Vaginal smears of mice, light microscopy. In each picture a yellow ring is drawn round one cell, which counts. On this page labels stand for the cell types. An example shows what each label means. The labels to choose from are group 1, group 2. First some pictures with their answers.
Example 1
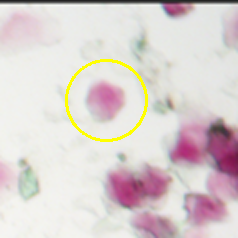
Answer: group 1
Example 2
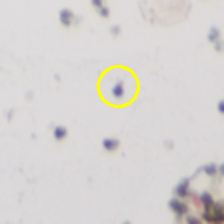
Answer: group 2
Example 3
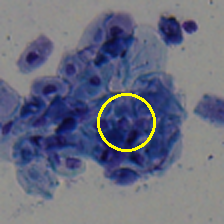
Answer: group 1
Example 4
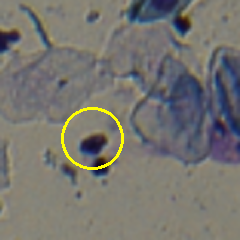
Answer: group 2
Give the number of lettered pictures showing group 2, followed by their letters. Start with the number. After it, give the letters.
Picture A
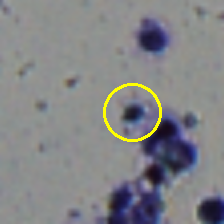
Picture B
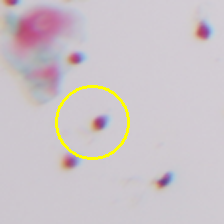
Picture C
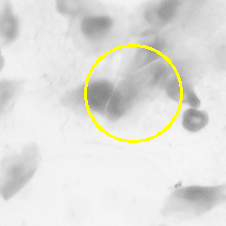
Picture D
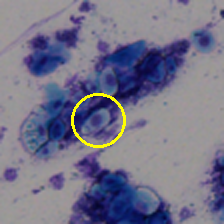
2, namely A, B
